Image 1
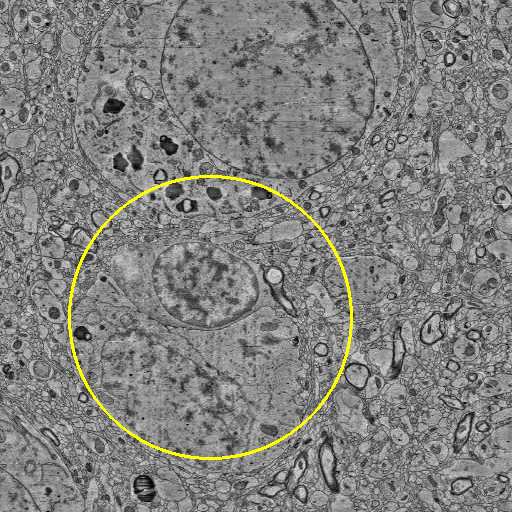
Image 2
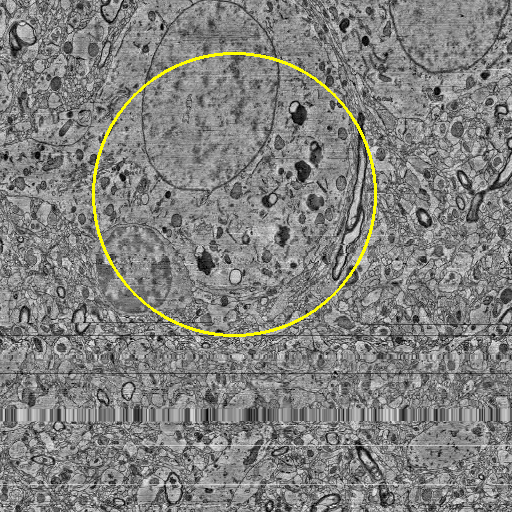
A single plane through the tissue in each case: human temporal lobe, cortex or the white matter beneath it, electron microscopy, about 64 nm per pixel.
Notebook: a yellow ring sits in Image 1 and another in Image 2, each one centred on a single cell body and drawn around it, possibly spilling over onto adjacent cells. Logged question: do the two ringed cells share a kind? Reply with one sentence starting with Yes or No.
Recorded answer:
No, the centre cells inside the rings of Image 1 and Image 2 are of two kinds.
